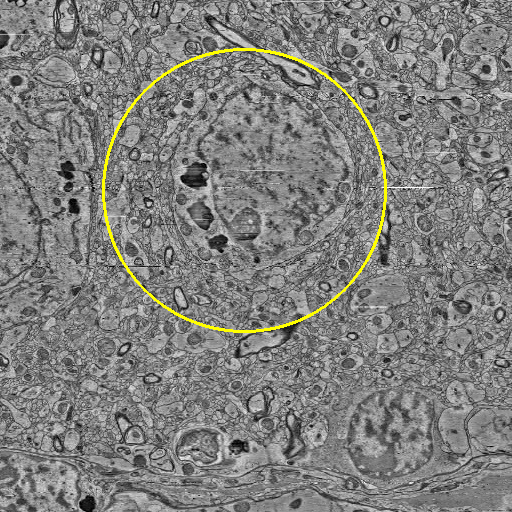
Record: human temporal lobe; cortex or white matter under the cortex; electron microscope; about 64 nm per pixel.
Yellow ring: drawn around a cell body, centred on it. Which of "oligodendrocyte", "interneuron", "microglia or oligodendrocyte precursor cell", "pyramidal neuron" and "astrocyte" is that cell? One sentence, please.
That cell body is from an interneuron.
